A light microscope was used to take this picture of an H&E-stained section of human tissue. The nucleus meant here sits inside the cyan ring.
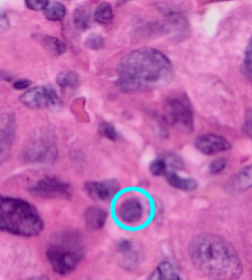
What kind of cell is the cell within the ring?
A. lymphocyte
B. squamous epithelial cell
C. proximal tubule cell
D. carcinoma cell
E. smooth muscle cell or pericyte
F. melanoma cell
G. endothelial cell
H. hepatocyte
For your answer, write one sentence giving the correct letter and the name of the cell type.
Option A is the one to take: the cell within the ring is a lymphocyte.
